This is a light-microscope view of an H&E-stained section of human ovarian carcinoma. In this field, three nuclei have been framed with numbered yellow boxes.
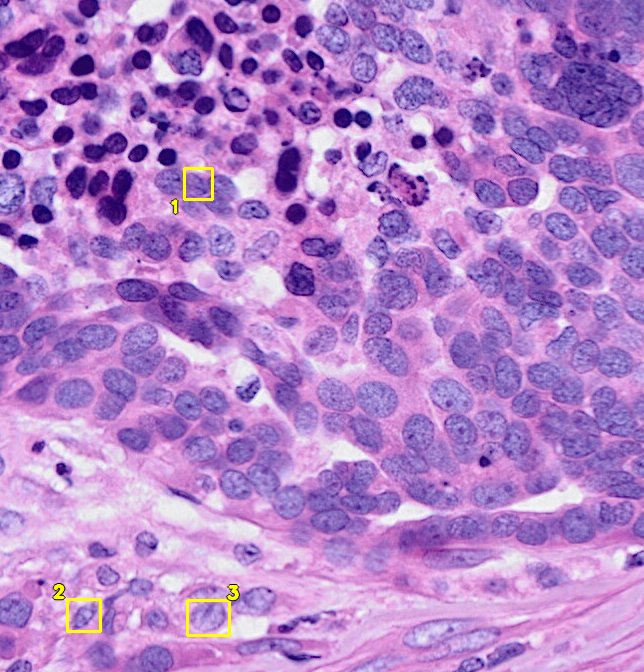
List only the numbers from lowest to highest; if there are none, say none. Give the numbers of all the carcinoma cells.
1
